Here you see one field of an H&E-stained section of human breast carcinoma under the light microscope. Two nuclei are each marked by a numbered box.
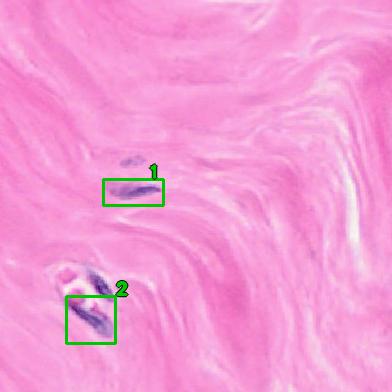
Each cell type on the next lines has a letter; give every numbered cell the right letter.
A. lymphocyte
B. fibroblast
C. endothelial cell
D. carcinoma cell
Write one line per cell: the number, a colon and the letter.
1: B
2: C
